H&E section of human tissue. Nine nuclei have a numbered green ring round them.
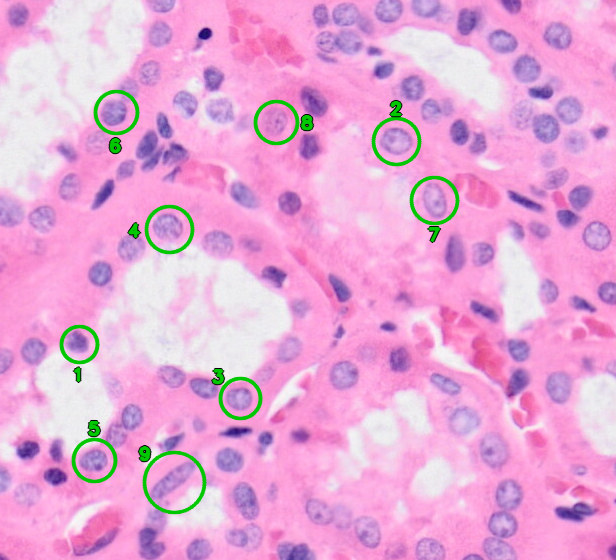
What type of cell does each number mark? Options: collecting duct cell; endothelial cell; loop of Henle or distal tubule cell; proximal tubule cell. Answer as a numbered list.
1. loop of Henle or distal tubule cell
2. proximal tubule cell
3. loop of Henle or distal tubule cell
4. loop of Henle or distal tubule cell
5. loop of Henle or distal tubule cell
6. loop of Henle or distal tubule cell
7. proximal tubule cell
8. proximal tubule cell
9. collecting duct cell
